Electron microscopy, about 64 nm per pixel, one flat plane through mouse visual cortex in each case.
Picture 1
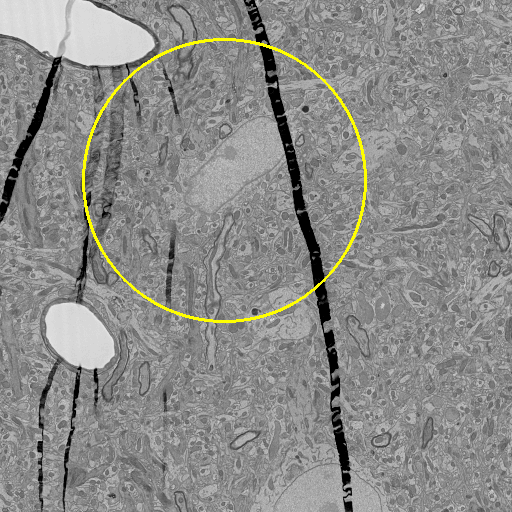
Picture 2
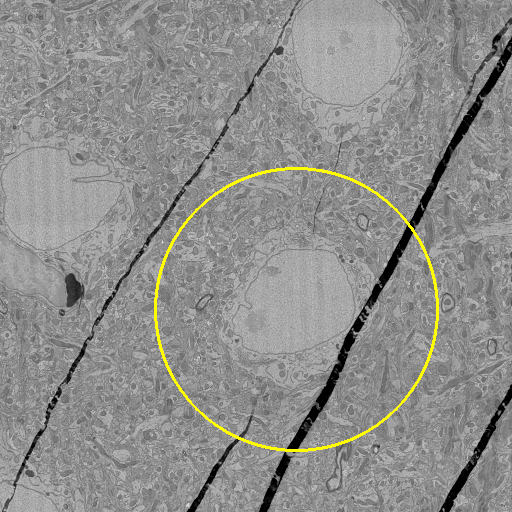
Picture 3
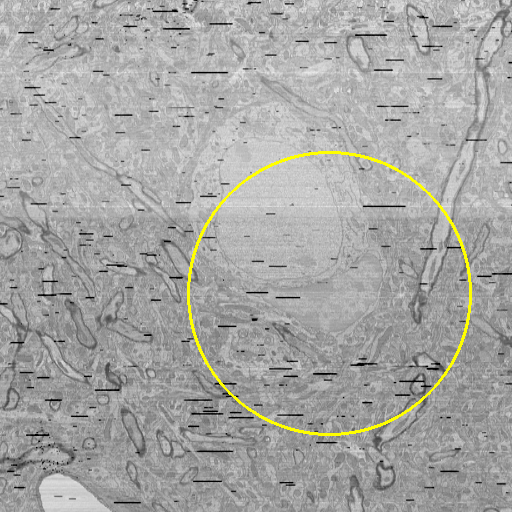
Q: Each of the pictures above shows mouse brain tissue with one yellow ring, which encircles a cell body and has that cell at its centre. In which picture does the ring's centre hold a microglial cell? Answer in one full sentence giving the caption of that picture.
Picture 3 is the one whose ring is centred on the cell in question.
